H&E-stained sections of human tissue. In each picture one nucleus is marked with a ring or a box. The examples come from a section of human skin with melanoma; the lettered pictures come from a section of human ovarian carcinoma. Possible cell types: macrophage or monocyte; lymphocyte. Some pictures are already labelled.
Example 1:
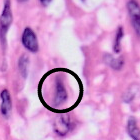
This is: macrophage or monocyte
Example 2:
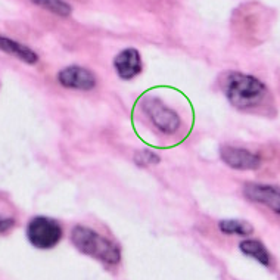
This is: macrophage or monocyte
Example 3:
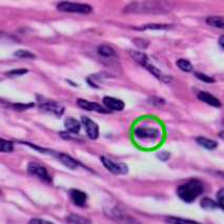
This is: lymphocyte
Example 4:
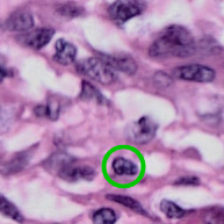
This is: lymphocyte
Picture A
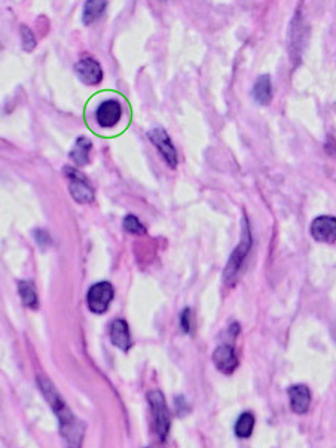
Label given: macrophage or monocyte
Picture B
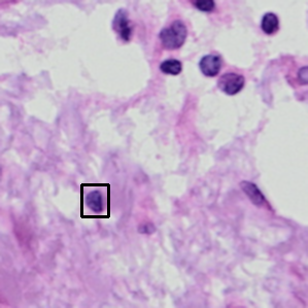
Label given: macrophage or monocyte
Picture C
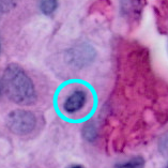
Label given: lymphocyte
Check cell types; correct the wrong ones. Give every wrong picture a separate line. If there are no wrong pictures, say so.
A: change macrophage or monocyte to lymphocyte
B: change macrophage or monocyte to lymphocyte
